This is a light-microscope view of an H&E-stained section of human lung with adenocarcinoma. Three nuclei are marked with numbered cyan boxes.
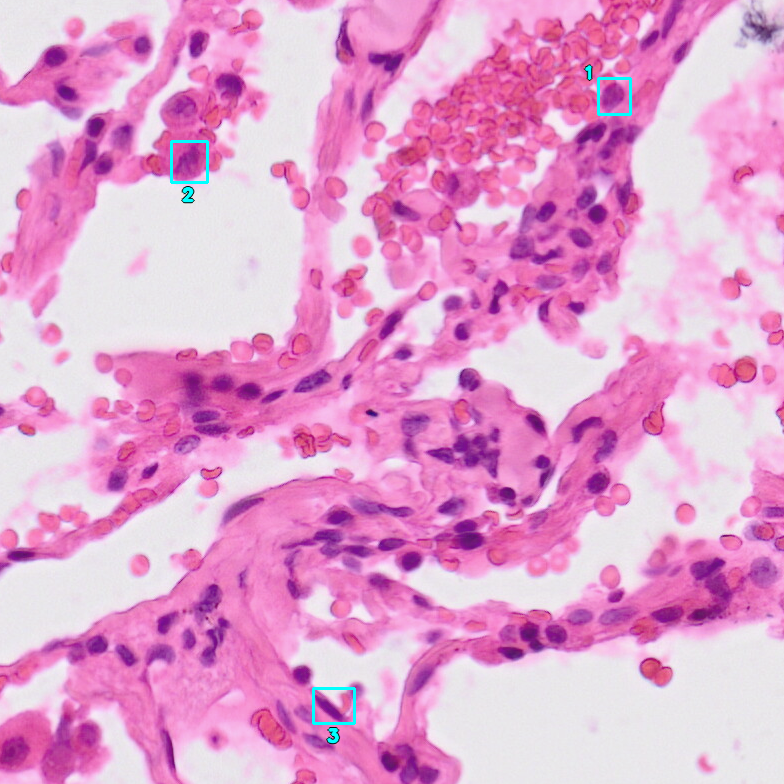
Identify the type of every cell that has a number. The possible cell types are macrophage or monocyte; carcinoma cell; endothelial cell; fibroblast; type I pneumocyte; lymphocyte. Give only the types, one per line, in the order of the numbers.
type I pneumocyte
macrophage or monocyte
endothelial cell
